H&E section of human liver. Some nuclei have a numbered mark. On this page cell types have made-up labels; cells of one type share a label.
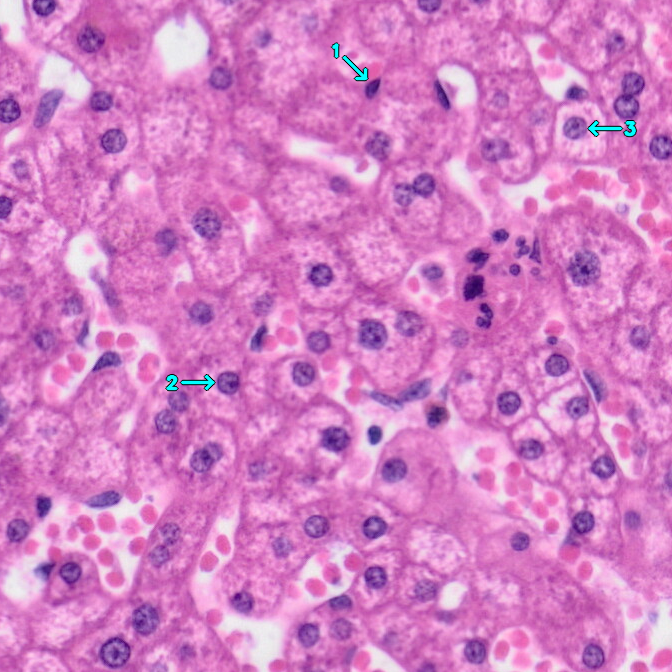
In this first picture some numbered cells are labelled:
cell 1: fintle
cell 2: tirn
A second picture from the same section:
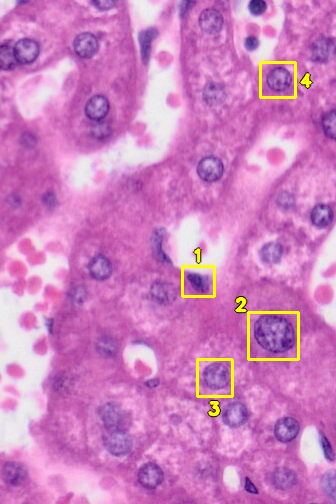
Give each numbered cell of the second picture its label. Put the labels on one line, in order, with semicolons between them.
fintle; tirn; tirn; tirn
